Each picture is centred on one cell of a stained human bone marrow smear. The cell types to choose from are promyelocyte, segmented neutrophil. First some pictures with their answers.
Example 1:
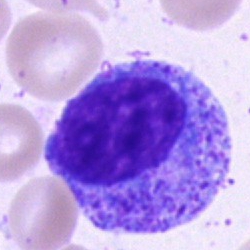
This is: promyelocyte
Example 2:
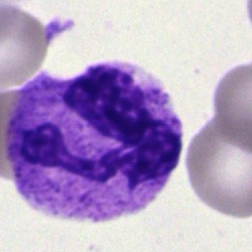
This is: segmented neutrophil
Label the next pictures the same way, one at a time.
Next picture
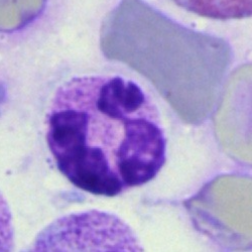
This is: segmented neutrophil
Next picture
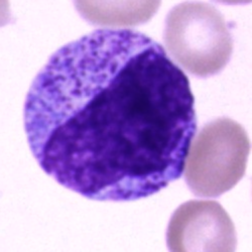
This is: promyelocyte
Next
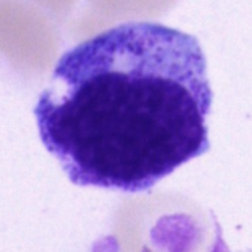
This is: promyelocyte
